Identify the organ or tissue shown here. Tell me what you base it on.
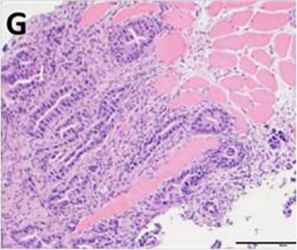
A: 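Bright pink, polygonal fibers cut in cross-section fill the upper right. Gland-like clusters of purple cells lie directly against and between the pink fibers.
Skeletal muscle.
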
